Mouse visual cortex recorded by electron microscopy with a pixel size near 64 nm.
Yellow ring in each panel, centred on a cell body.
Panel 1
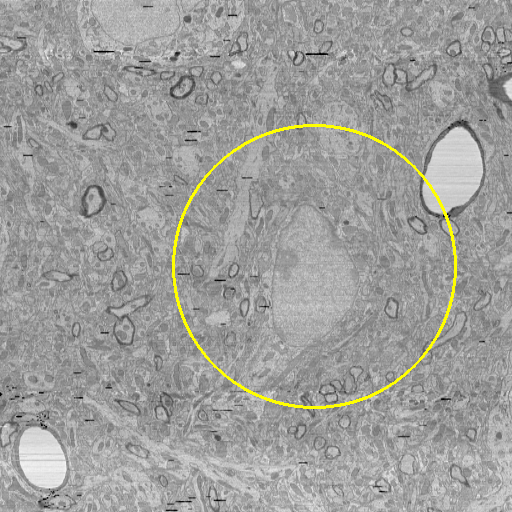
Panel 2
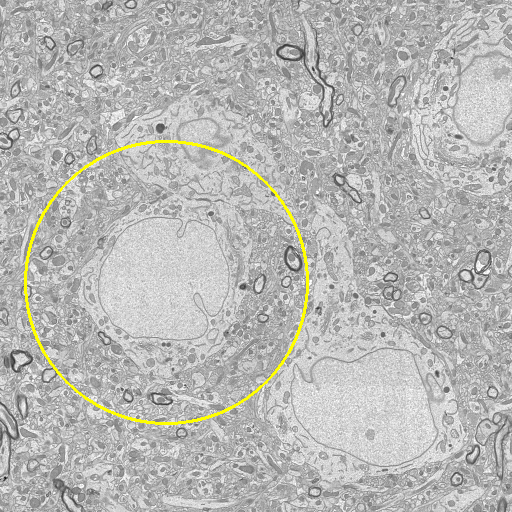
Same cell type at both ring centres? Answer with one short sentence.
No, the two cells are of two types.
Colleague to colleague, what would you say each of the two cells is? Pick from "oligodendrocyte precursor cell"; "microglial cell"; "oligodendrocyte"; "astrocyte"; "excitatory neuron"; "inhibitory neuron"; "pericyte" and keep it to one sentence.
The cell in the first picture is an astrocyte; the second picture's cell is an excitatory neuron.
